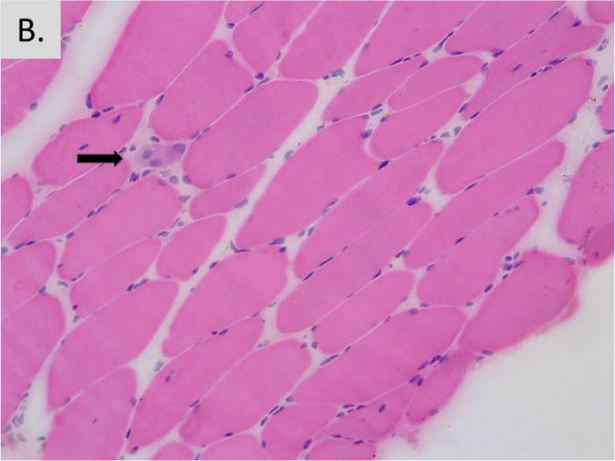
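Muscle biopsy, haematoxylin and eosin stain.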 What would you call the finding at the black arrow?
Basophilic regenerating fibre.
